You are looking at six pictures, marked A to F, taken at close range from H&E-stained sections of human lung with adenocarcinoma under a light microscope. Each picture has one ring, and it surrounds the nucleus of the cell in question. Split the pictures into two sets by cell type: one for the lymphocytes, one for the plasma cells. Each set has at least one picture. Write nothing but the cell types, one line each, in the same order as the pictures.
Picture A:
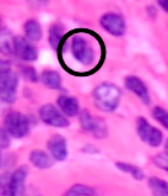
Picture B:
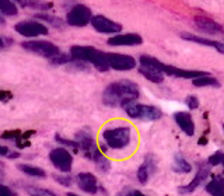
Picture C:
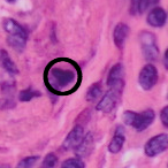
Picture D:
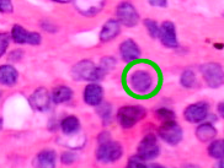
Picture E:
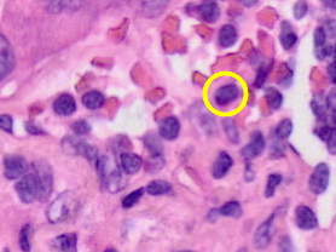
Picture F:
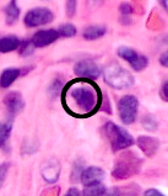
lymphocyte
lymphocyte
plasma cell
lymphocyte
lymphocyte
plasma cell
